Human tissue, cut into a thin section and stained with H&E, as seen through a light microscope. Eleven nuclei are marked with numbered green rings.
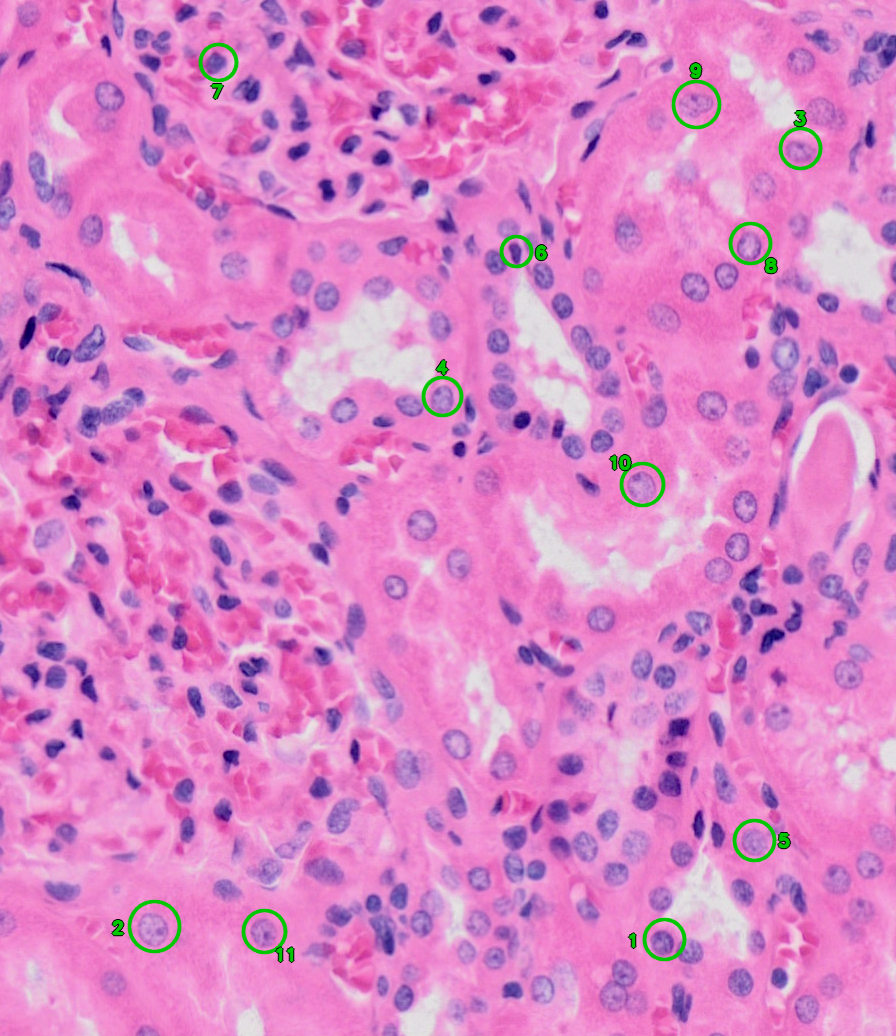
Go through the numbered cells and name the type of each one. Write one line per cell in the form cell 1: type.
cell 1: loop of Henle or distal tubule cell
cell 2: proximal tubule cell
cell 3: proximal tubule cell
cell 4: loop of Henle or distal tubule cell
cell 5: loop of Henle or distal tubule cell
cell 6: collecting duct cell
cell 7: endothelial cell
cell 8: proximal tubule cell
cell 9: proximal tubule cell
cell 10: proximal tubule cell
cell 11: proximal tubule cell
